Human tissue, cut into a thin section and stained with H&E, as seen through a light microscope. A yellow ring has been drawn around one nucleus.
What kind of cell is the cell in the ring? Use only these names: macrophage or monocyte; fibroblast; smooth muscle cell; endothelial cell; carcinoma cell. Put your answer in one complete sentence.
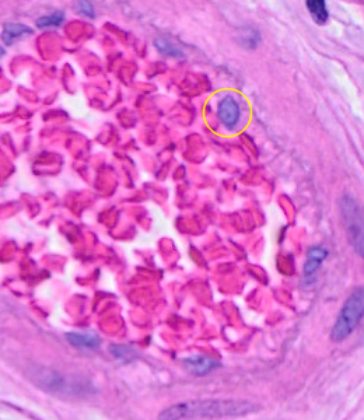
The cell in the ring is an endothelial cell.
